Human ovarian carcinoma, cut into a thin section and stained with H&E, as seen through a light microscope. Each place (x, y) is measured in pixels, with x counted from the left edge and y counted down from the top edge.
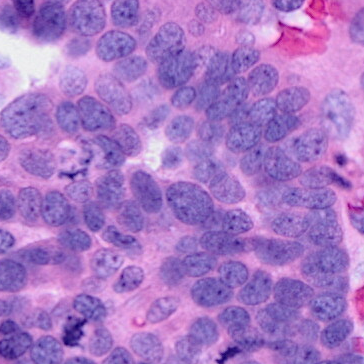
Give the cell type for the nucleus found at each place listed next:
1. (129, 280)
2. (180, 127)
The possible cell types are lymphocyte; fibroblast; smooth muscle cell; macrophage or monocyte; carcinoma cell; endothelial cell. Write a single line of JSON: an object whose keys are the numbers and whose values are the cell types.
{"1": "macrophage or monocyte", "2": "carcinoma cell"}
